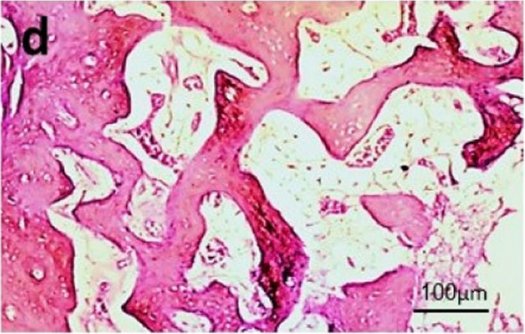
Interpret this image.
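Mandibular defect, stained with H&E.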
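Newly formed bone appears as irregular, haphazardly branching pink trabeculae. Small lacunae containing bone cells are scattered within the trabeculae. Between the trabeculae lie wide pale marrow spaces with a vacuolated, fatty look. Some darker red areas lie along the edges of the bony strands.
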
